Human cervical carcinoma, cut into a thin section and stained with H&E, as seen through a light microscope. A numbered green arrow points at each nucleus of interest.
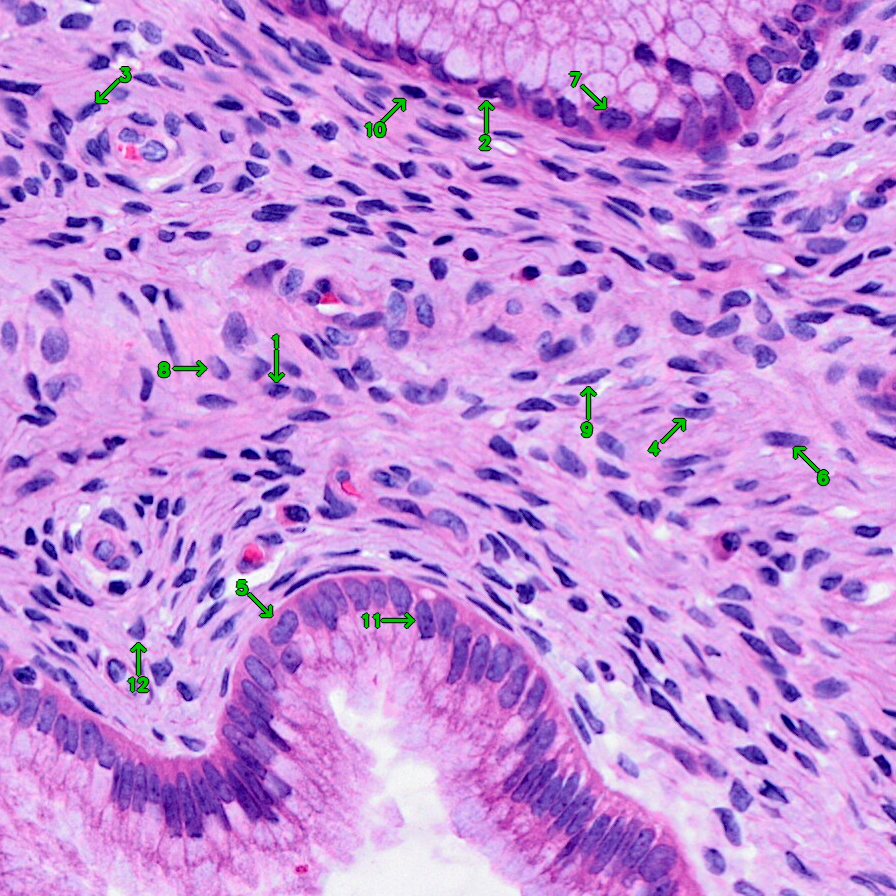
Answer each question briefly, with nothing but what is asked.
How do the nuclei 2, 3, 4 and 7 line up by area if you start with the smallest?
2, 3, 4, 7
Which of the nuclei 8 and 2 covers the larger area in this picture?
8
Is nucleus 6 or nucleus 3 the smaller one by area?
3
